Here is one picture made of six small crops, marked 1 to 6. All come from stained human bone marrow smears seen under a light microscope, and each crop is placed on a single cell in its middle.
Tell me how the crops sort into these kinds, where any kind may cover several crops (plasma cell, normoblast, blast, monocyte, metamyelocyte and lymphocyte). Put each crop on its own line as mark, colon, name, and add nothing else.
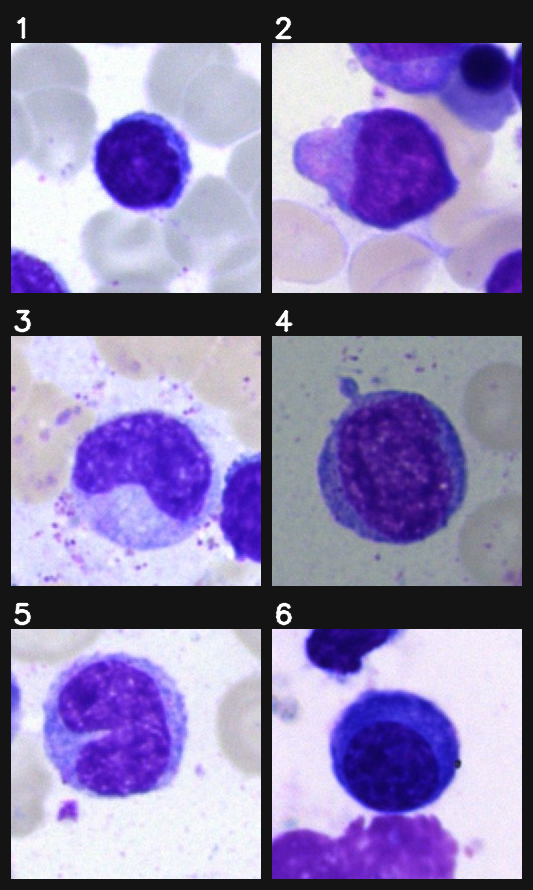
1: lymphocyte
2: blast
3: metamyelocyte
4: blast
5: monocyte
6: plasma cell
